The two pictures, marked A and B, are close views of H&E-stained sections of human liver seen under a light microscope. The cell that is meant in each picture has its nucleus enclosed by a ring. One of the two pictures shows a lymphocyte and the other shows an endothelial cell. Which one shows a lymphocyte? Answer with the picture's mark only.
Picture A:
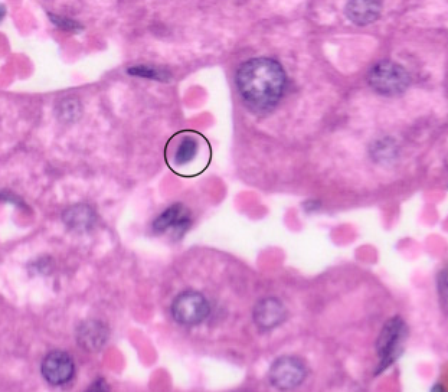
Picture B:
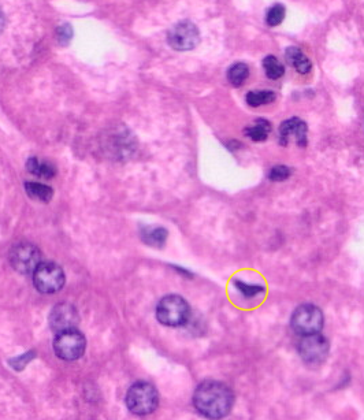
A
